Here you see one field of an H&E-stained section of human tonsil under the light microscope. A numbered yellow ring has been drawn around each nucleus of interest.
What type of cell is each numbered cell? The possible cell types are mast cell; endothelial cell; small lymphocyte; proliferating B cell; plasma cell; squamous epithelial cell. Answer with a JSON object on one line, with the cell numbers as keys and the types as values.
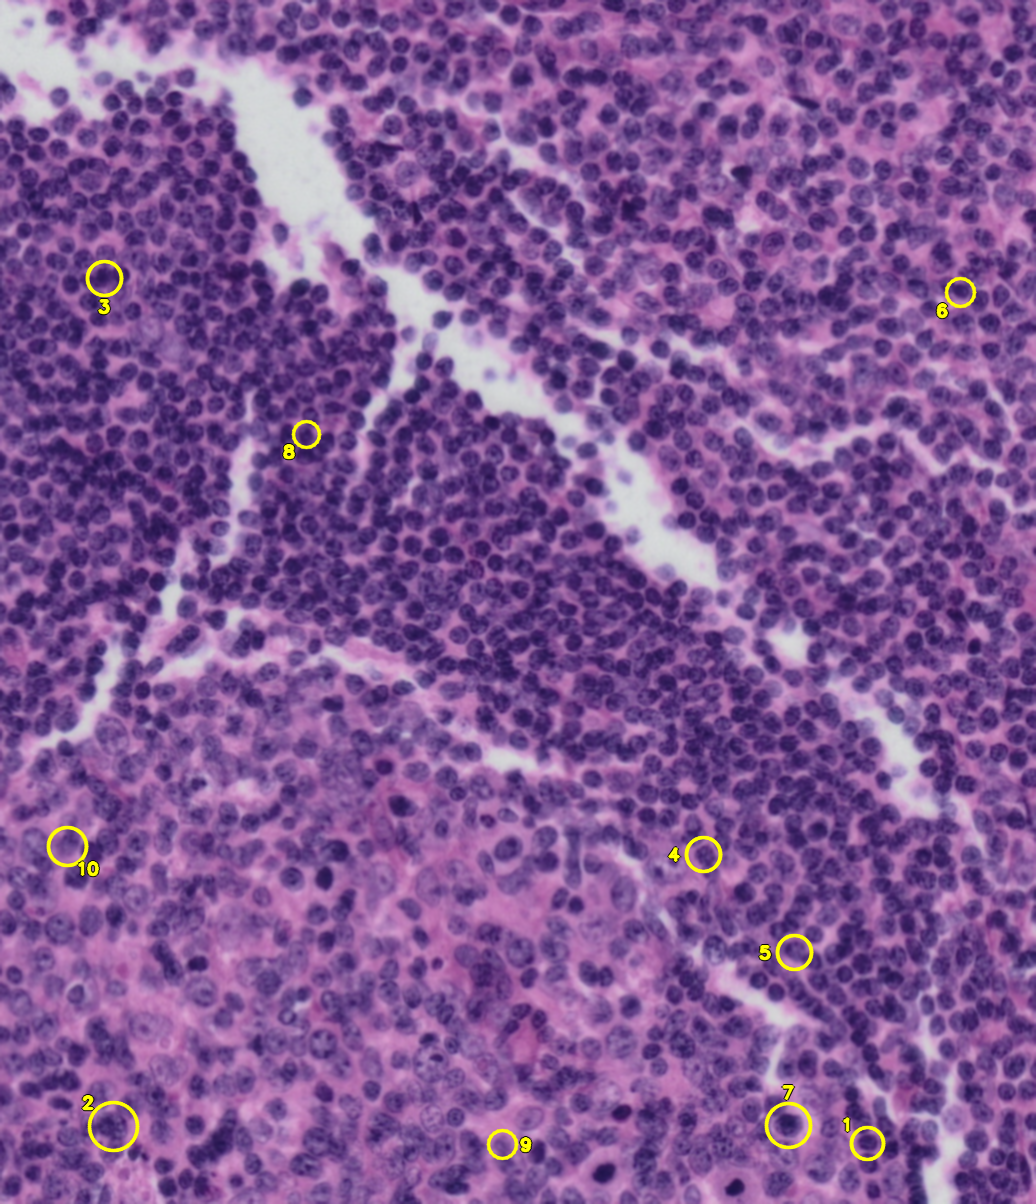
{"1": "small lymphocyte", "2": "proliferating B cell", "3": "small lymphocyte", "4": "small lymphocyte", "5": "small lymphocyte", "6": "small lymphocyte", "7": "proliferating B cell", "8": "small lymphocyte", "9": "proliferating B cell", "10": "proliferating B cell"}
